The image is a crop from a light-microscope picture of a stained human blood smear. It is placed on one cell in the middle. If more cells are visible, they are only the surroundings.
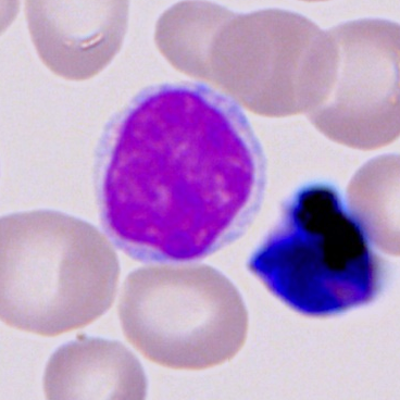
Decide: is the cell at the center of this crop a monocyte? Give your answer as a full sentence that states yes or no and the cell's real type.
No, what the centre of the crop shows is a lymphocyte, not a monocyte.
